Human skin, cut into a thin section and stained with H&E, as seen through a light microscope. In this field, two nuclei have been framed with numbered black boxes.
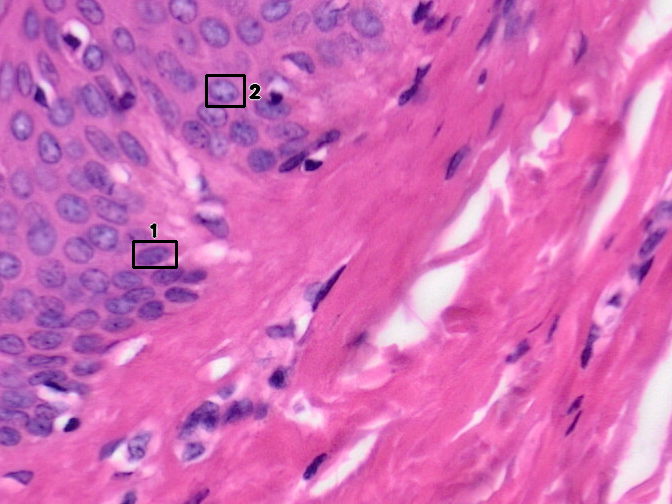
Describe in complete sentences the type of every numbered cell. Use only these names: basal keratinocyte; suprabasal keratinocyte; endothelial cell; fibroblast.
Cell 1 is a basal keratinocyte. Cell 2 is a suprabasal keratinocyte.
